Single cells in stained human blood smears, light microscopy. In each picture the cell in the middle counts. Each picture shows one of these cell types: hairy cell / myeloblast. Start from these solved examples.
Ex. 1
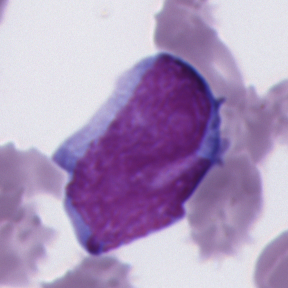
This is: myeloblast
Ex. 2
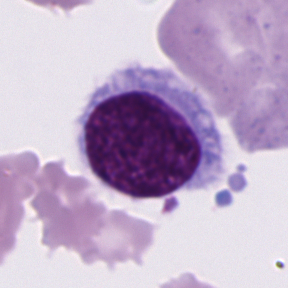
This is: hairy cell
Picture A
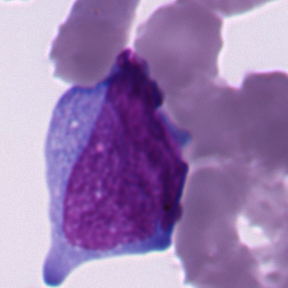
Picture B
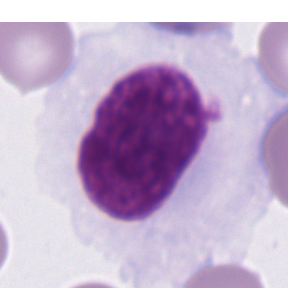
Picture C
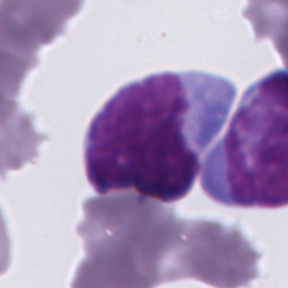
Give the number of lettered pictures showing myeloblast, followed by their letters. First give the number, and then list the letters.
2: A, C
